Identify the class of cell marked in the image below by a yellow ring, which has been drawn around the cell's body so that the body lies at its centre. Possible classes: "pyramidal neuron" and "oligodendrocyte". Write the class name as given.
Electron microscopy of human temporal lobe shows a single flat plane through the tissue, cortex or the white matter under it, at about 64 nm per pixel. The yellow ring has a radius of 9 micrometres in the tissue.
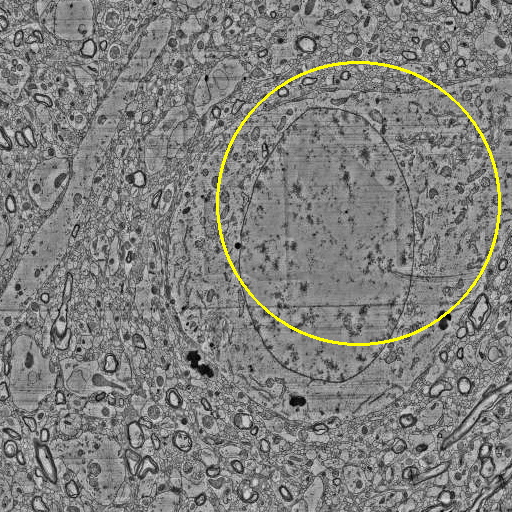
pyramidal neuron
